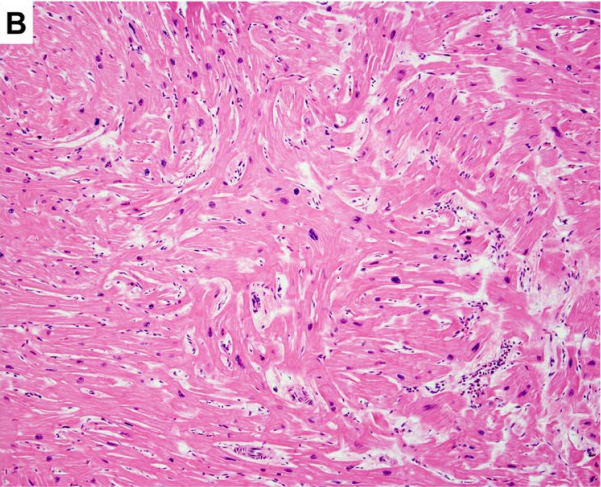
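This section of heart muscle shows cardiac myocytes that are arranged in disarray: single fibres and whole bundles run in many directions, crossing and forming swirls instead of lying in parallel. The myocytes have pink cytoplasm and dark purple, elongated nuclei scattered among the fibres. Pale spaces and faint pink strands lie between the fibre bundles.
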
